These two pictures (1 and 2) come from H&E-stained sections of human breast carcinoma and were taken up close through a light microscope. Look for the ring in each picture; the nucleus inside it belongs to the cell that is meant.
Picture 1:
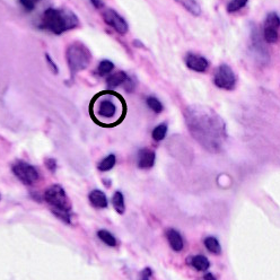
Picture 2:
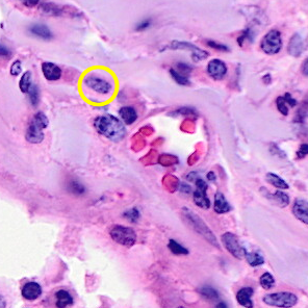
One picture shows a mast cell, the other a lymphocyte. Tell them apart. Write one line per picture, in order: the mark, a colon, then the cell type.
1: lymphocyte
2: mast cell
